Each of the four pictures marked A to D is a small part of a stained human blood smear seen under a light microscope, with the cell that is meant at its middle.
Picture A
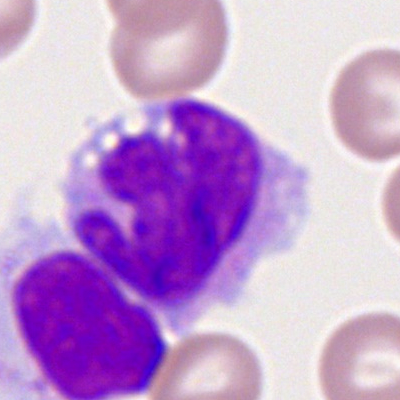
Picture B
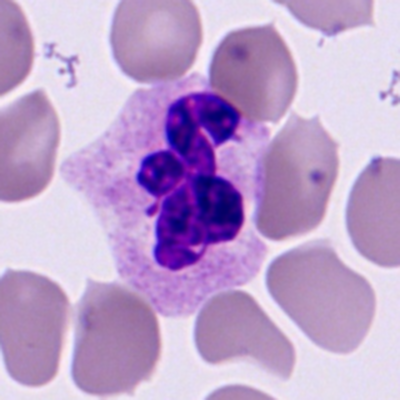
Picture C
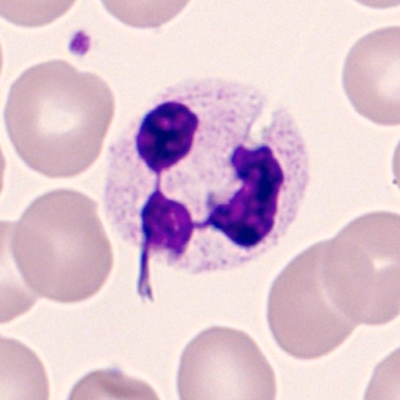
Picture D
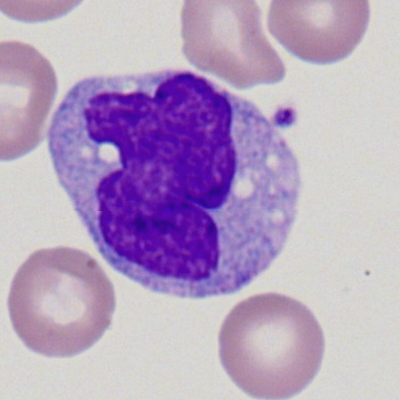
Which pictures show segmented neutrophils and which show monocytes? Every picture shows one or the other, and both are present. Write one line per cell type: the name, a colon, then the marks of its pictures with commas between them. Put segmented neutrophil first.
segmented neutrophil: B, C
monocyte: A, D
